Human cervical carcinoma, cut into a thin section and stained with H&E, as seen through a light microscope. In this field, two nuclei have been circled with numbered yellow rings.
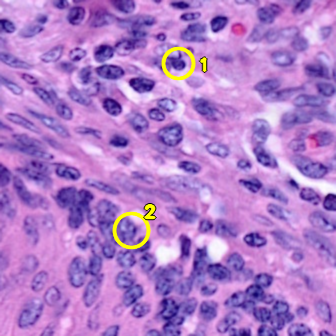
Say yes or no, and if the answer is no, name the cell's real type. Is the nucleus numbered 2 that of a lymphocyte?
No, it is a squamous carcinoma cell.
